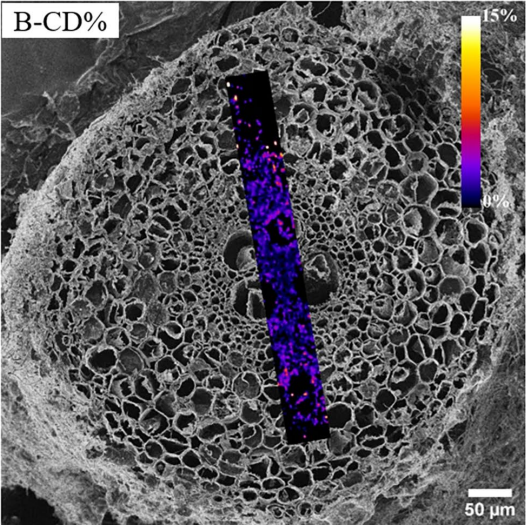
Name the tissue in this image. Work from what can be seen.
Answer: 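Root. A roughly circular cross-section made of many polygonal thin-walled cells. Smaller cells cluster near the centre, larger cells toward the periphery.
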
